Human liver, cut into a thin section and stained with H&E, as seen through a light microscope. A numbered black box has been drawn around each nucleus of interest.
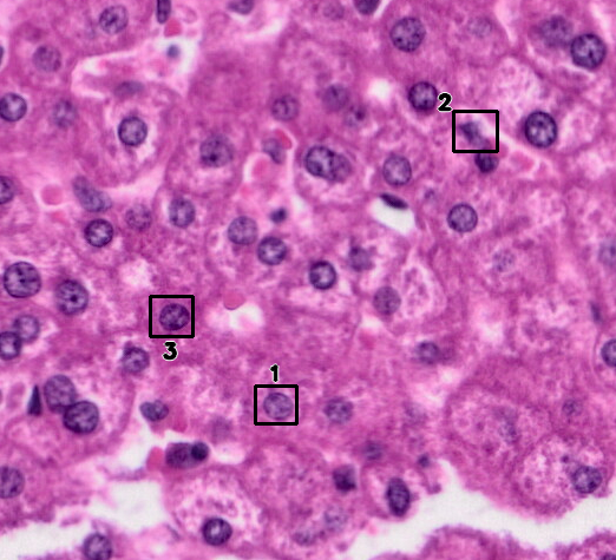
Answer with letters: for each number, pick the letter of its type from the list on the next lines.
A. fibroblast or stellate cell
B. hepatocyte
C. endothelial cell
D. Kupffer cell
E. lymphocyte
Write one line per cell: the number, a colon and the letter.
1: B
2: D
3: B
